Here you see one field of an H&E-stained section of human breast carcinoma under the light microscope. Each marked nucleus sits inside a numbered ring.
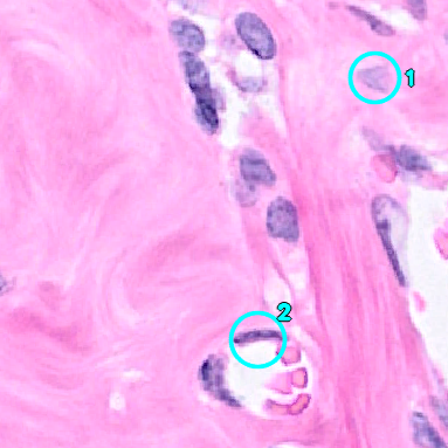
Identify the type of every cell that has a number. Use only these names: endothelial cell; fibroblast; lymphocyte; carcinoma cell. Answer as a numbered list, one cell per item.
1. fibroblast
2. endothelial cell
